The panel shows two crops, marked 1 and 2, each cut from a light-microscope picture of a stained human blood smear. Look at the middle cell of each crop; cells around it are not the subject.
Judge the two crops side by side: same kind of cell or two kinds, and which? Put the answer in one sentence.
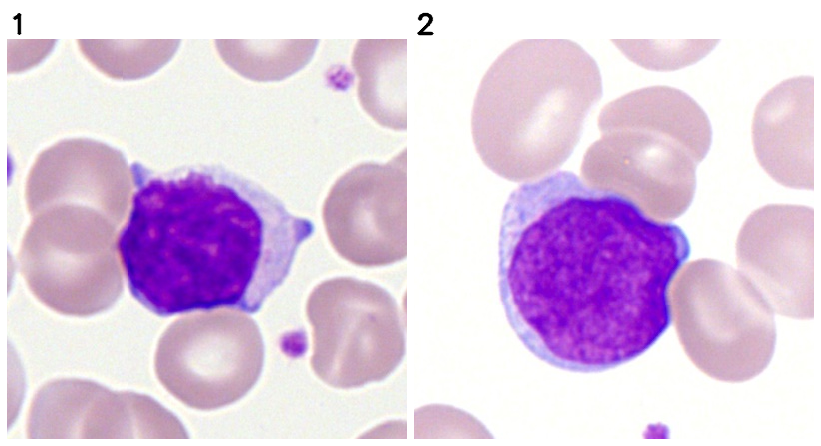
No, crop 1 is where a lymphocyte is shown, and crop 2 is where a blast is shown.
